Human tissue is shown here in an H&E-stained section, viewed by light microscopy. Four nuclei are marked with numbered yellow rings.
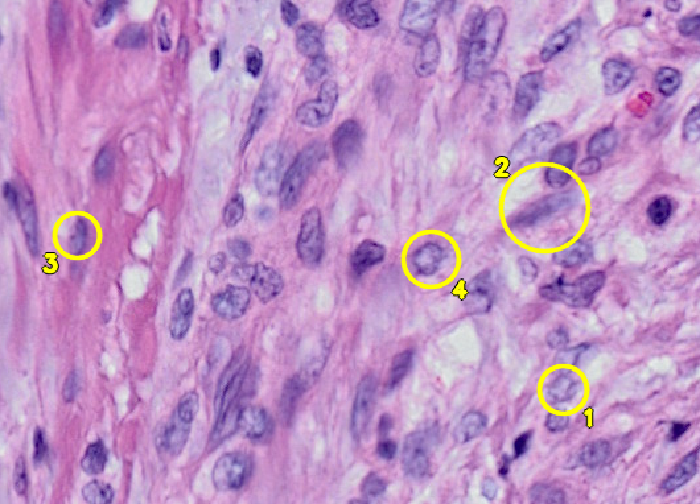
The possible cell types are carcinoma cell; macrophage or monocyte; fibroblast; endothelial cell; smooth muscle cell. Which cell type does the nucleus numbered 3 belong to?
smooth muscle cell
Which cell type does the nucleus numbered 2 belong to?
fibroblast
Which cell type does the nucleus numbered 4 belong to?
fibroblast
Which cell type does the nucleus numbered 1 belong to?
fibroblast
